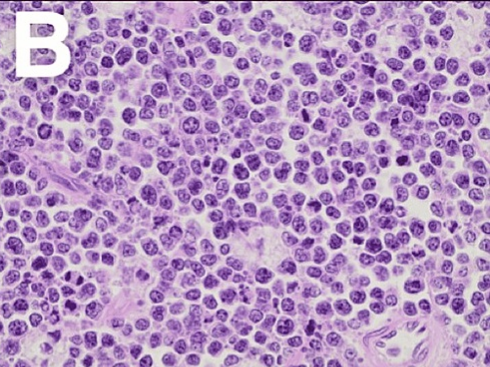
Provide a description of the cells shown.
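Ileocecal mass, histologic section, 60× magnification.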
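High-power view of a sheet of intermediate-sized lymphocytes, closely packed with only scant cytoplasm around each round to slightly irregular nucleus. The nuclei are purple with granular chromatin, and several show small nucleoli. Scattered cells have dark, condensed nuclei, fitting mitotic figures and apoptotic bodies. Thin pink strands of stroma and small vessels run between the cells.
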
